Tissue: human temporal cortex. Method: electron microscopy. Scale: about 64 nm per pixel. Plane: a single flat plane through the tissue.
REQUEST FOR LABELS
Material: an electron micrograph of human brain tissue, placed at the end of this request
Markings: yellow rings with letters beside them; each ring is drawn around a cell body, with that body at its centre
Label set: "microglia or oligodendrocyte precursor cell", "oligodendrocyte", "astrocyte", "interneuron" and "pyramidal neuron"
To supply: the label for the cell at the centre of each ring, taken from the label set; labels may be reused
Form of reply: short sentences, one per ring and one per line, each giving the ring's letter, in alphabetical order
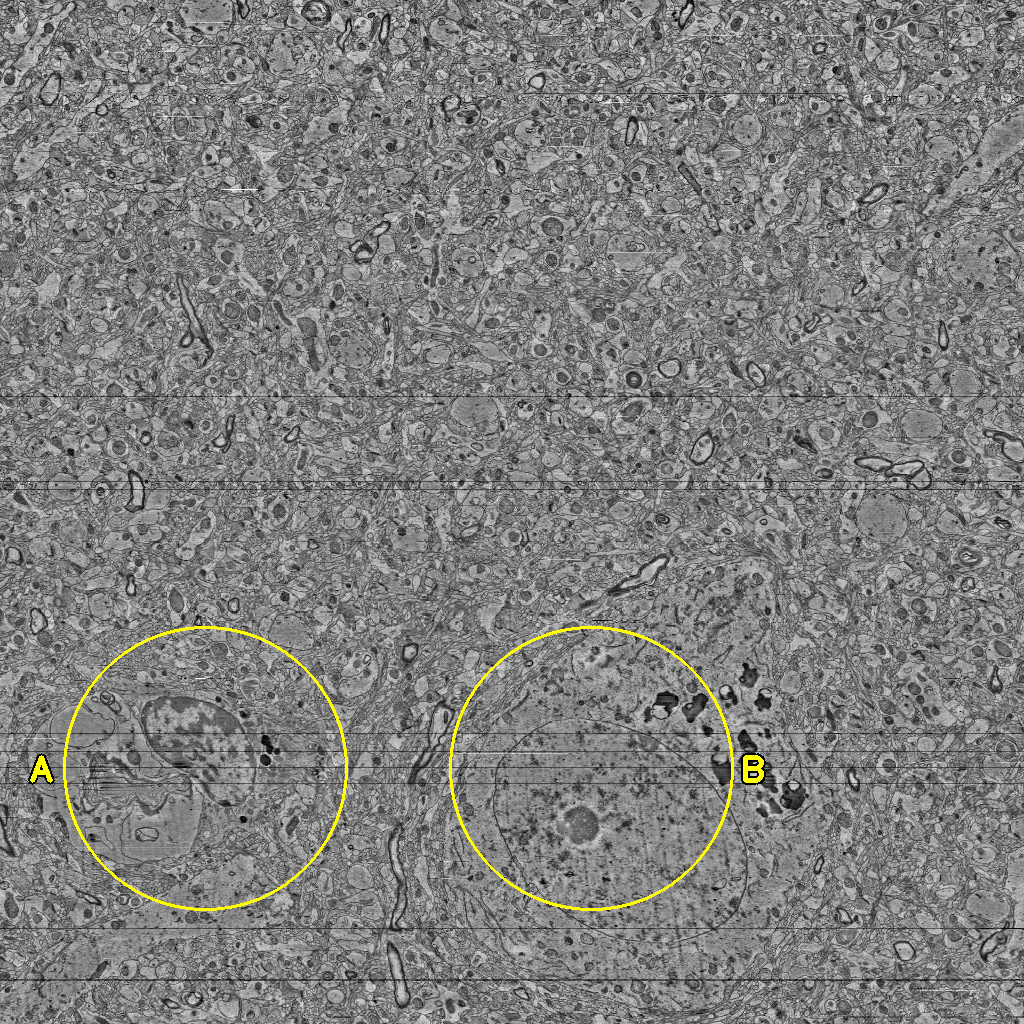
Ring A: the cell in the middle is a microglial cell or oligodendrocyte precursor cell.
Ring B: the cell in the middle is a pyramidal neuron.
